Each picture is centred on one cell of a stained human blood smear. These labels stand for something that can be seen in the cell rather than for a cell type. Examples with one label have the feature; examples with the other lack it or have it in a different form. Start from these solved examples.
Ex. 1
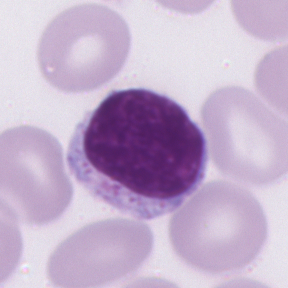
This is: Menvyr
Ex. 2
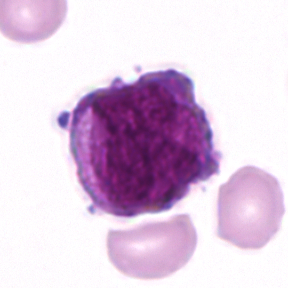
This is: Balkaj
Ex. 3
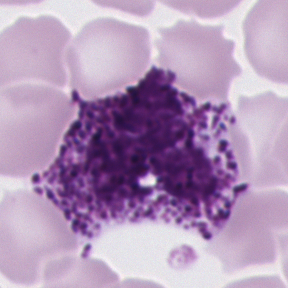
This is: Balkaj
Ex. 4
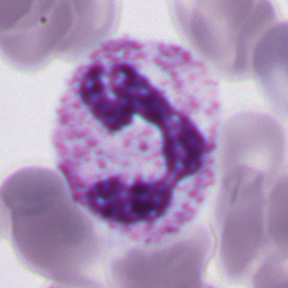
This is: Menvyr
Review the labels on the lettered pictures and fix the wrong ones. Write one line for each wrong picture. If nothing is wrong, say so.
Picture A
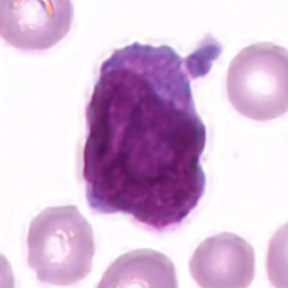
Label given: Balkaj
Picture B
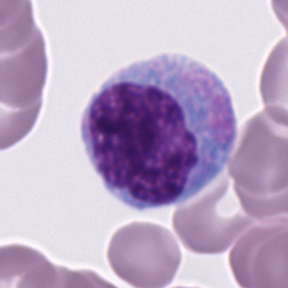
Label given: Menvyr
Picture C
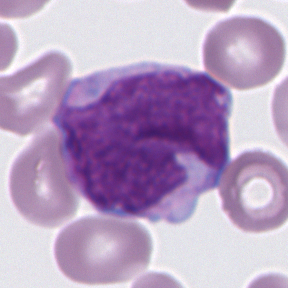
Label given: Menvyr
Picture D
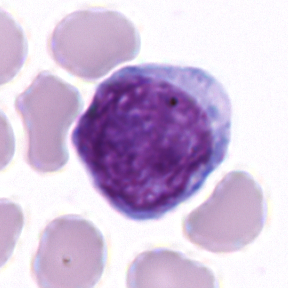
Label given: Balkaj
C is labelled Menvyr; correct label: Balkaj
D is labelled Balkaj; correct label: Menvyr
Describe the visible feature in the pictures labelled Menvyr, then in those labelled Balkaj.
Menvyr: smooth outline; Balkaj: ragged outline or projections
